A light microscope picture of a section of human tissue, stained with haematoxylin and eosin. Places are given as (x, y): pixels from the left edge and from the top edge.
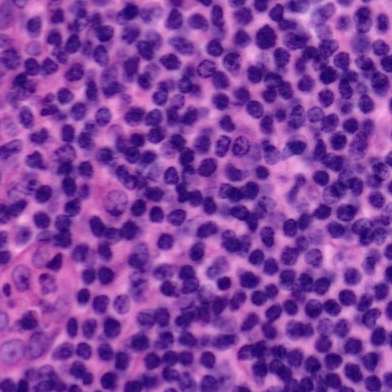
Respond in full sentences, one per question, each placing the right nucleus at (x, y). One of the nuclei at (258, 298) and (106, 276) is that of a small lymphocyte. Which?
The nucleus found at (258, 298) belongs to a small lymphocyte.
